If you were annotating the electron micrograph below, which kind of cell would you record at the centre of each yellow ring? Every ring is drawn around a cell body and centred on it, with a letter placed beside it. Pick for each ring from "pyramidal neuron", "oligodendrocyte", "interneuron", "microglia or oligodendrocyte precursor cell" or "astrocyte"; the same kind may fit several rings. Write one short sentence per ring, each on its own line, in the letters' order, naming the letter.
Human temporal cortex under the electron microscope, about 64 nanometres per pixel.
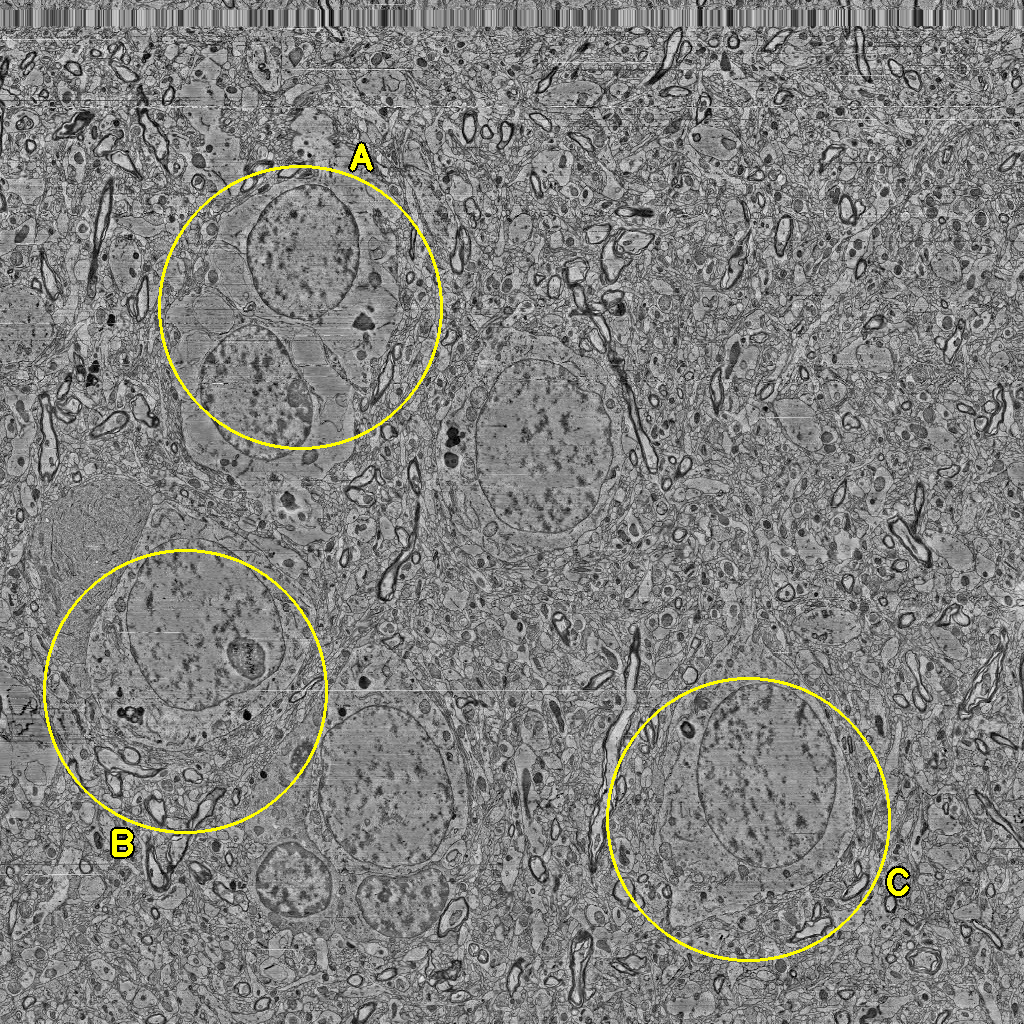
For ring A, I would record an astrocyte.
For ring B, I would record a pyramidal neuron.
For ring C, I would record a pyramidal neuron.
